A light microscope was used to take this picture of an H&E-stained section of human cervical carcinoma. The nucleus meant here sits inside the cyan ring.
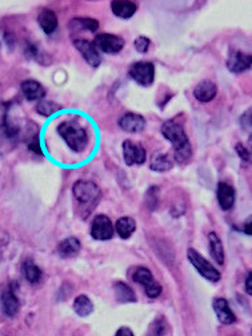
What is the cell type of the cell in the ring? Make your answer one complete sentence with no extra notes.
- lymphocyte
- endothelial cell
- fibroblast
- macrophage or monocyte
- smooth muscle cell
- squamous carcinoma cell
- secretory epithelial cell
Cytologically, the cell in the ring is to be regarded as a lymphocyte.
